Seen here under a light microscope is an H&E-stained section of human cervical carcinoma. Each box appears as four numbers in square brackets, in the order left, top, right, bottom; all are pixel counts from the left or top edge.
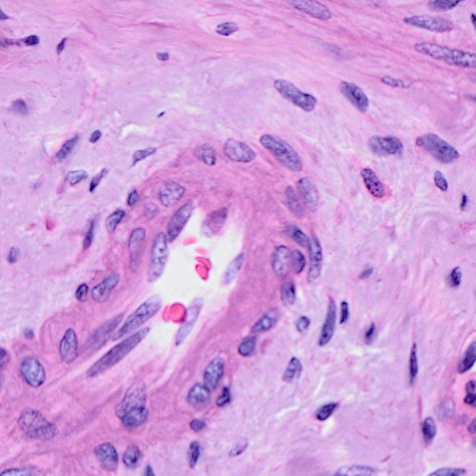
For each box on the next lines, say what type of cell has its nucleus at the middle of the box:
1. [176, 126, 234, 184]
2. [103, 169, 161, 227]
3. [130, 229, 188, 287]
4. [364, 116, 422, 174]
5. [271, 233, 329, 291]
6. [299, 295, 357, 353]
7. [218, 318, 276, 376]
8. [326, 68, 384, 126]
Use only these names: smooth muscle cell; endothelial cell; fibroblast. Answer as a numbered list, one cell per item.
1. smooth muscle cell
2. smooth muscle cell
3. endothelial cell
4. fibroblast
5. smooth muscle cell
6. fibroblast
7. smooth muscle cell
8. fibroblast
